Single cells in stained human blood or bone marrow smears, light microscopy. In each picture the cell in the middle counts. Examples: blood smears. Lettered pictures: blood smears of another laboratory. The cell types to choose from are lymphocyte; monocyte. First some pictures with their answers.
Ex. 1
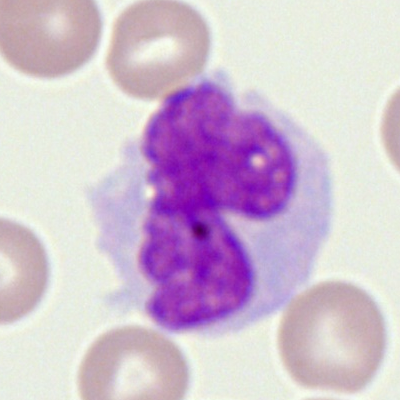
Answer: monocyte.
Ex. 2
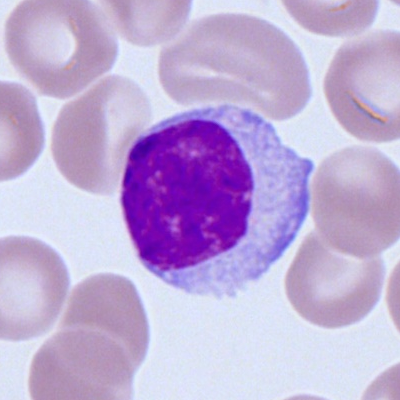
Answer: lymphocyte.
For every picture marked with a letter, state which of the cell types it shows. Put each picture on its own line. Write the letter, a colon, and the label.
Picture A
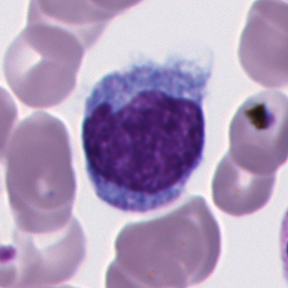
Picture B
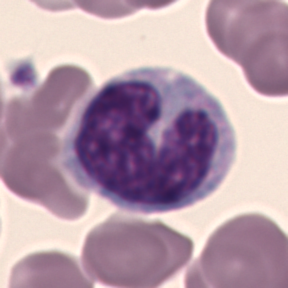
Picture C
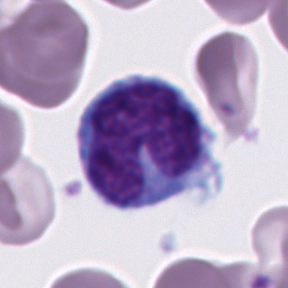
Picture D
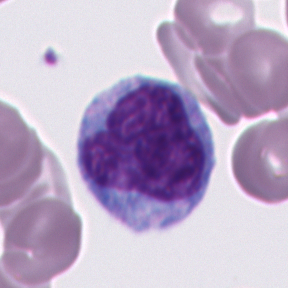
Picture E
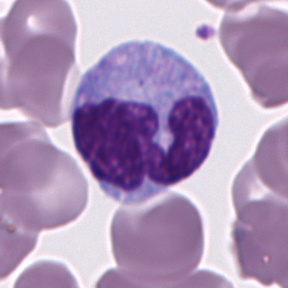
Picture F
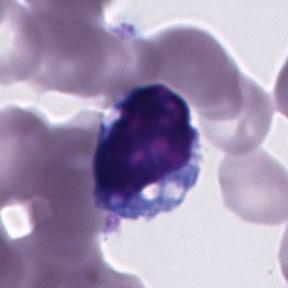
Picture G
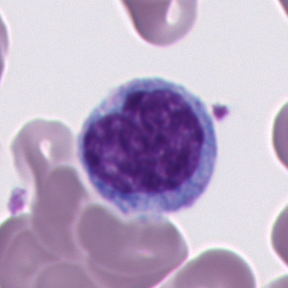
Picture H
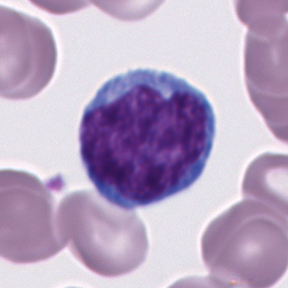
A: monocyte.
B: monocyte.
C: monocyte.
D: monocyte.
E: monocyte.
F: lymphocyte.
G: monocyte.
H: monocyte.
